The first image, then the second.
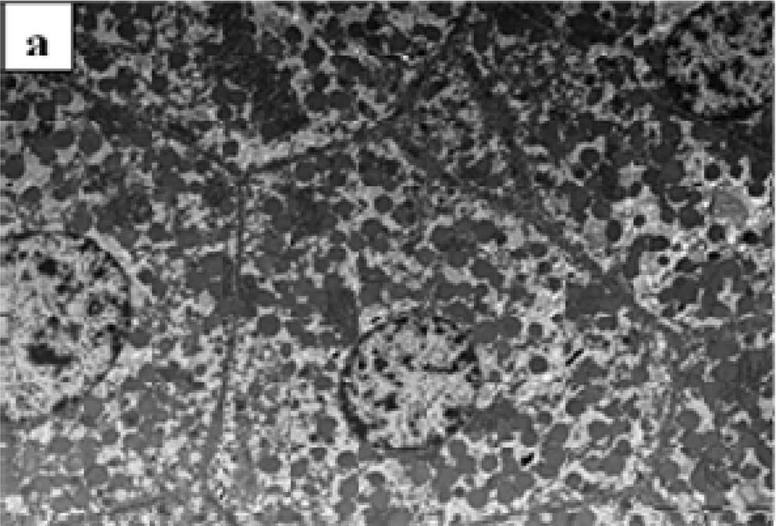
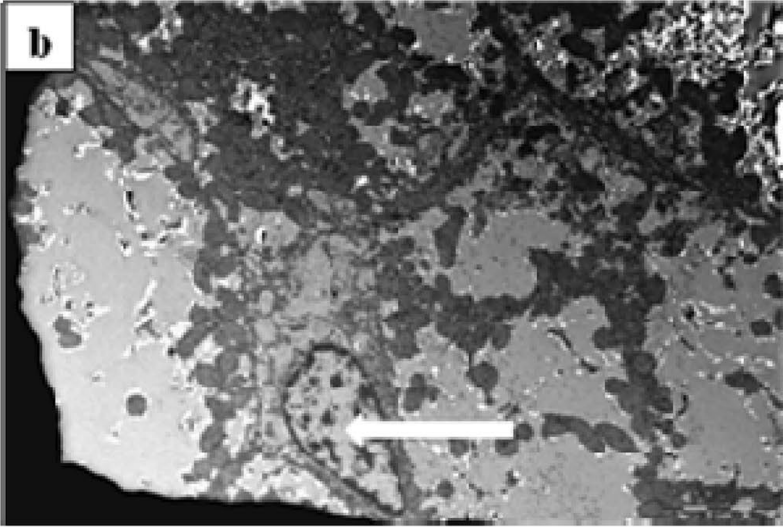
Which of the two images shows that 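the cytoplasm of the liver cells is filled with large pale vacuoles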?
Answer: the second image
